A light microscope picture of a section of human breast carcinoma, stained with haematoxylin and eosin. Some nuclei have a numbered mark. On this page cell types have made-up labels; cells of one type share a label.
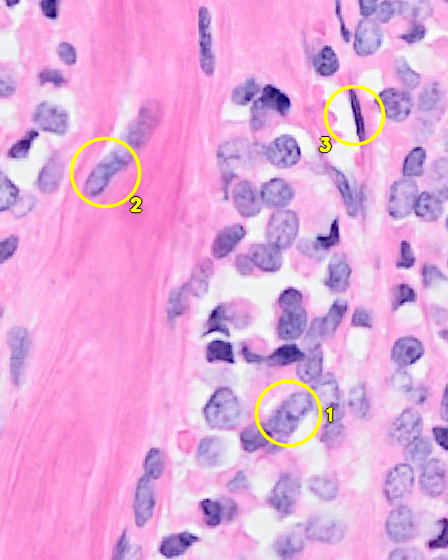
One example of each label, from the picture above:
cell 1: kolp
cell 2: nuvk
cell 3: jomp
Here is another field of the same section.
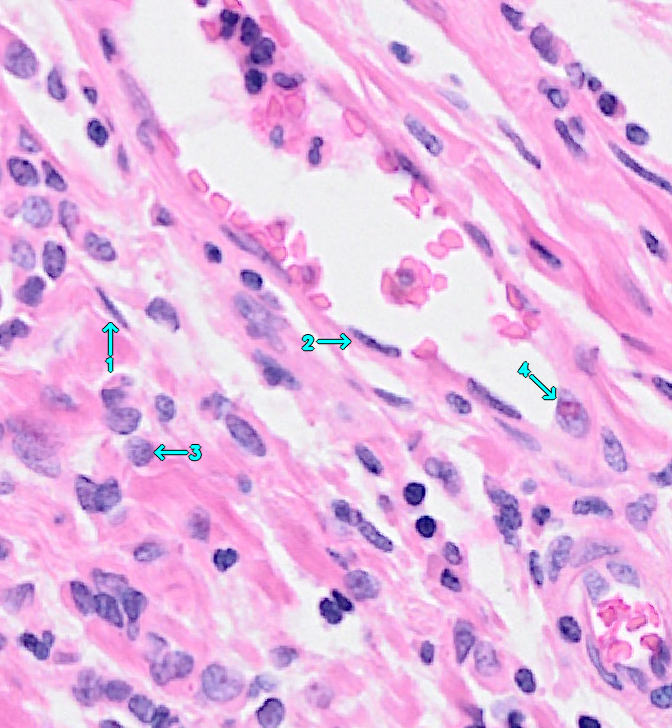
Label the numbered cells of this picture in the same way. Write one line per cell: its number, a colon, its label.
1: nuvk
2: jomp
3: kolp
4: jomp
